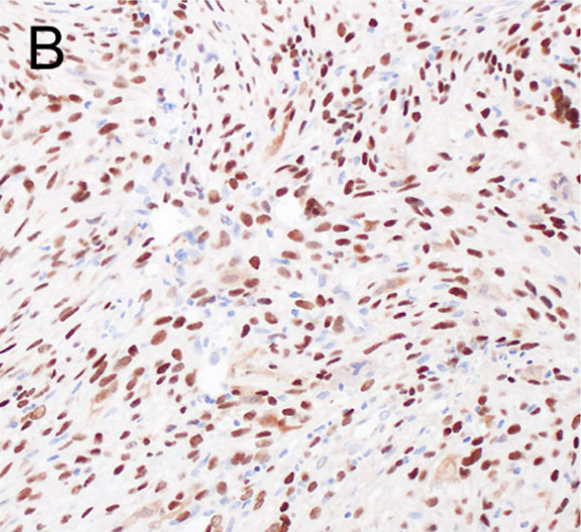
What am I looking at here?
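Spindle cells with elongated and oval nuclei lie in loosely arranged, streaming bundles in a pale fibrous background. Many nuclei are stained a strong brown, while others are blue and unstained, so the brown-stained nuclei are mixed among negative ones. Some cells show faint brown cytoplasm along their long axis, and a few nuclei are larger and darker than the rest. Small clear spaces interrupt the cell bundles. These are atypical spindle cells, a large share of which carry the brown nuclear stain.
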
